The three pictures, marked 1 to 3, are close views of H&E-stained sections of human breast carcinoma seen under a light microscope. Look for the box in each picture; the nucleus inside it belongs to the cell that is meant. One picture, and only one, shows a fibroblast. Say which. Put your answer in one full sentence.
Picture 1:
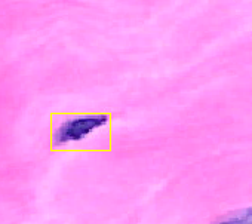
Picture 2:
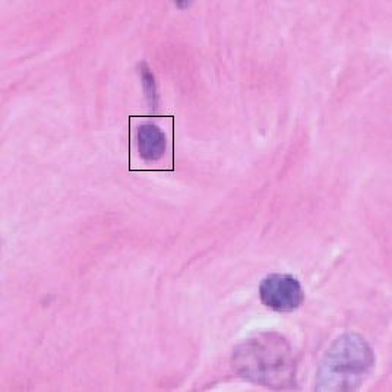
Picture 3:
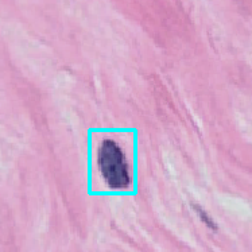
The fibroblast is the one in picture 1.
